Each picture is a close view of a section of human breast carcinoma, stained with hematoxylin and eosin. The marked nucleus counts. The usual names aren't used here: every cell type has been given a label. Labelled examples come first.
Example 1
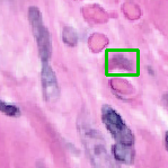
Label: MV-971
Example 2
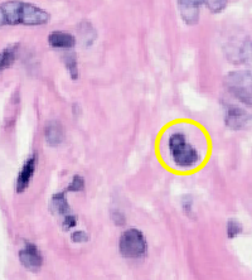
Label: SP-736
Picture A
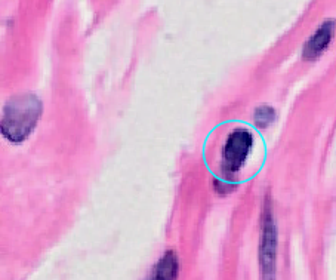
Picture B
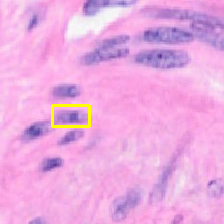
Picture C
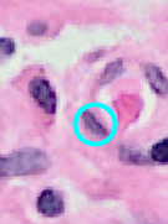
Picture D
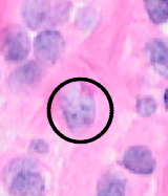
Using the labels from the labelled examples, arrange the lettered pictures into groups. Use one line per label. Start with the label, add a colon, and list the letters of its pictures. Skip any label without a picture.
MV-971: B, C, D
SP-736: A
